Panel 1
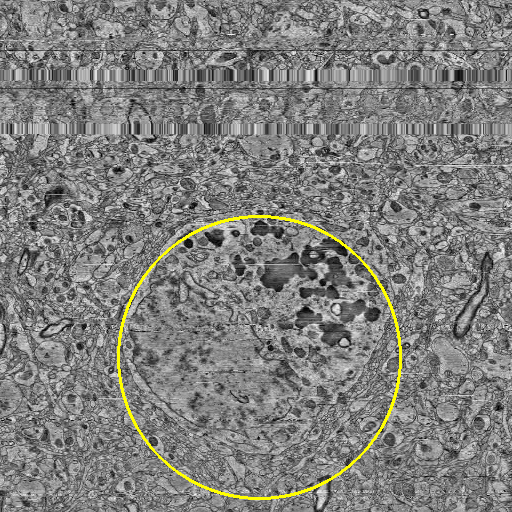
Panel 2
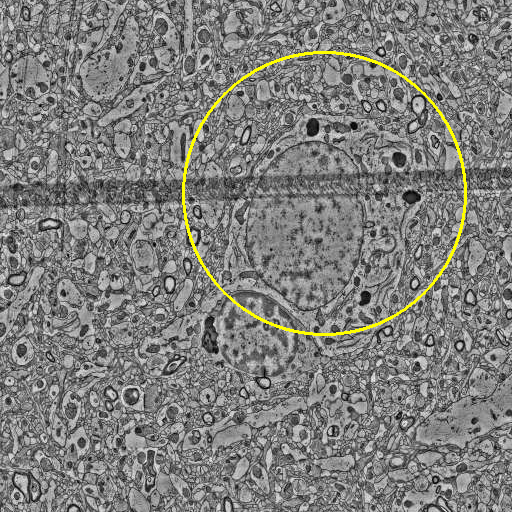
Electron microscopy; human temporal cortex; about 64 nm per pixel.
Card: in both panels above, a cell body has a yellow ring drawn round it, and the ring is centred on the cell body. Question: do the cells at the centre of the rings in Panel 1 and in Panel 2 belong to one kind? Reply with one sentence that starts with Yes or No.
Yes, the cells centred in the rings of Panel 1 and Panel 2 are one kind of cell.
